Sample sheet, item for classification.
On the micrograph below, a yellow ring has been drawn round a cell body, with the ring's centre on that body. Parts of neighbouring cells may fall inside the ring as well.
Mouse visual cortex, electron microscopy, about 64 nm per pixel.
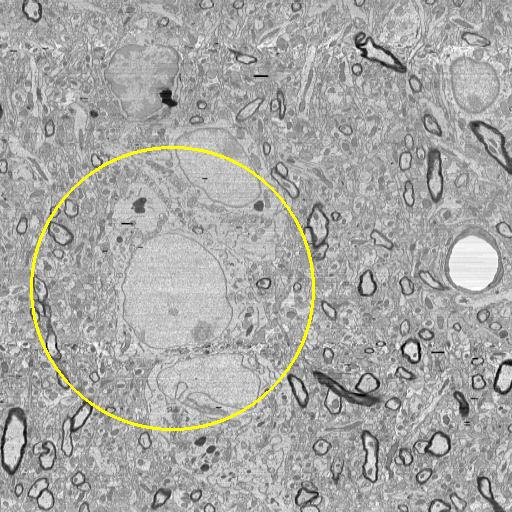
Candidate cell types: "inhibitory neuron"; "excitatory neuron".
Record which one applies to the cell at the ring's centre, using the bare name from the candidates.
excitatory neuron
